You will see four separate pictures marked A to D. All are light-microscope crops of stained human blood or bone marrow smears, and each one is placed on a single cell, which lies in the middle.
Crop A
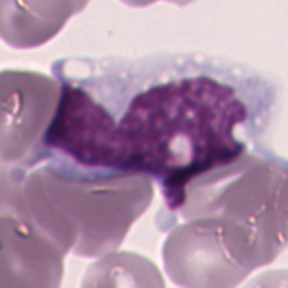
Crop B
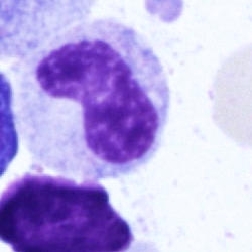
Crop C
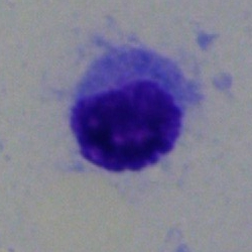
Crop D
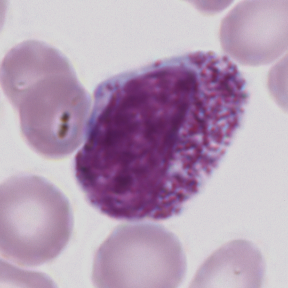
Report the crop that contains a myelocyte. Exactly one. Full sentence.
On review of the set, crop D is the one showing a myelocyte.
